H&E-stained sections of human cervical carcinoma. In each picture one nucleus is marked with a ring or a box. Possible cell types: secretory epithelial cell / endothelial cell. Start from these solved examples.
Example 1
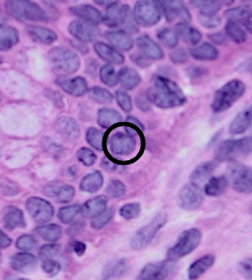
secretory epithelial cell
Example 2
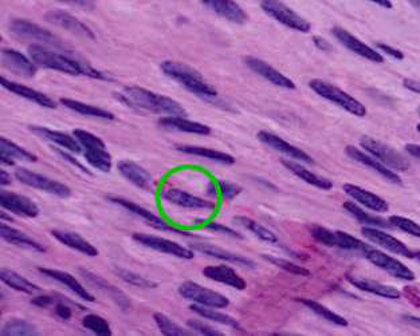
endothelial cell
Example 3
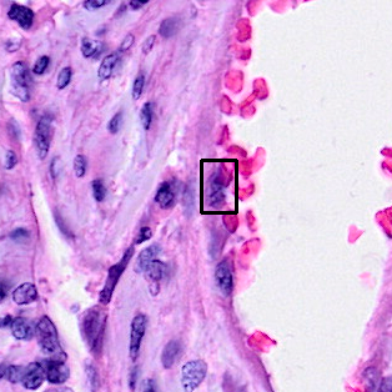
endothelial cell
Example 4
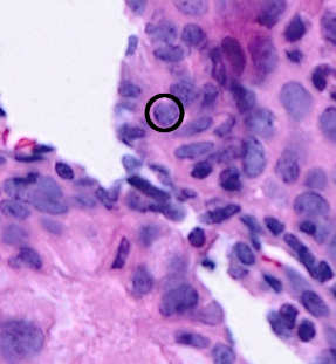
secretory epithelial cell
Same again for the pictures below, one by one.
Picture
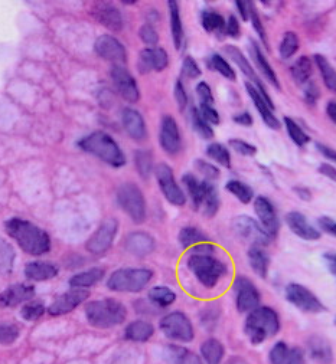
secretory epithelial cell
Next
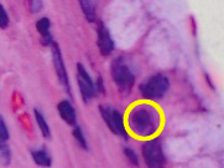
secretory epithelial cell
